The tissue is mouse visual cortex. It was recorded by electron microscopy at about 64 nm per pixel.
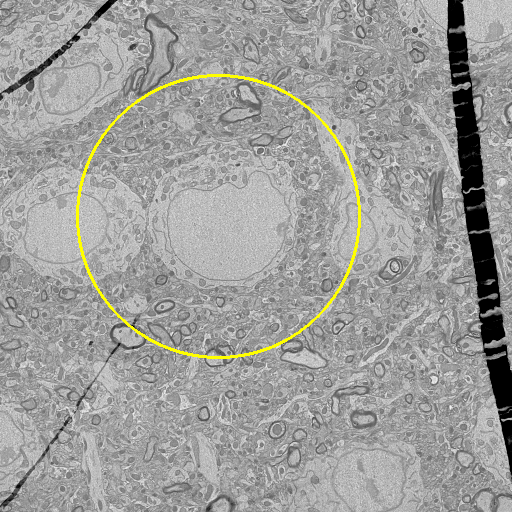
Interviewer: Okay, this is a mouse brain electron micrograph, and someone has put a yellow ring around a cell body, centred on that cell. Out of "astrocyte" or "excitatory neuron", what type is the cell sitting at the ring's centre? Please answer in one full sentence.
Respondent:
The cell at the centre of the yellow ring in this picture is an excitatory neuron.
